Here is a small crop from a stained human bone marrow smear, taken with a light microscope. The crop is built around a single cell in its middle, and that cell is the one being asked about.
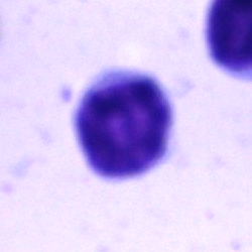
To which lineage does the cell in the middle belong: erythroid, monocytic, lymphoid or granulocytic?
lymphoid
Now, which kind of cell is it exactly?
lymphocyte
